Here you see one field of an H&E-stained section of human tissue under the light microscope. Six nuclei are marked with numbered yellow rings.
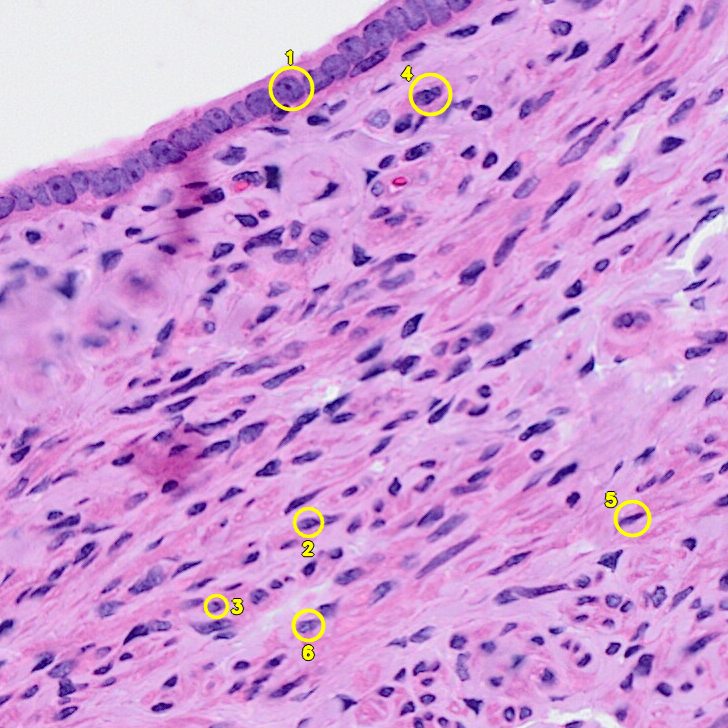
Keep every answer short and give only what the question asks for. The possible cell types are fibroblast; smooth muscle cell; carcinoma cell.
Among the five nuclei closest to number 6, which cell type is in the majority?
smooth muscle cell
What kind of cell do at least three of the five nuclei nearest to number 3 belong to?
smooth muscle cell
